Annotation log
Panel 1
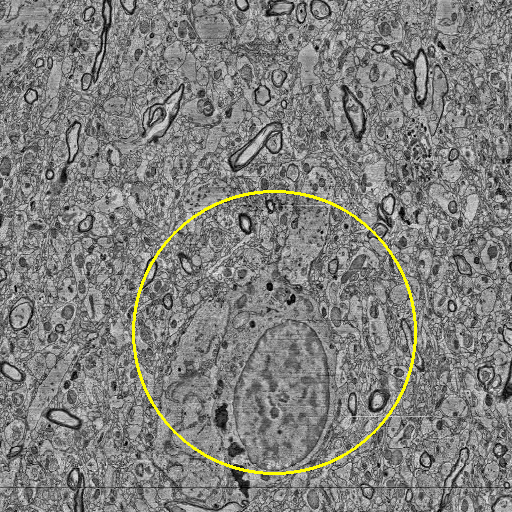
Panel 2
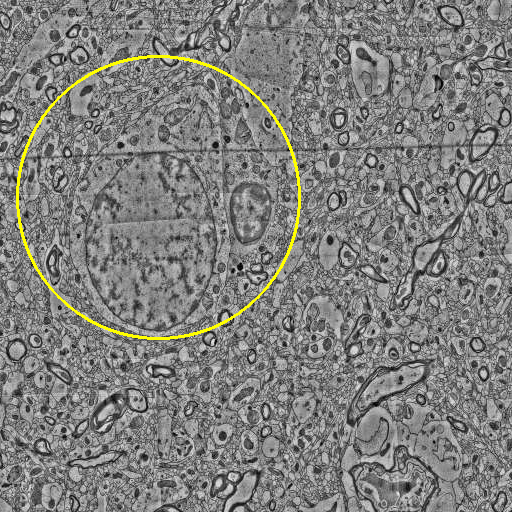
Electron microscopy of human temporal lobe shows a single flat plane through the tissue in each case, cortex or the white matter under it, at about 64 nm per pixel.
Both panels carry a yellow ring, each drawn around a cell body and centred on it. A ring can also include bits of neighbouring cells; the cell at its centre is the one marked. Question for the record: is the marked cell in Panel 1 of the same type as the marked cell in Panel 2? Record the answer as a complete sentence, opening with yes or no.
No, the marked cells in Panel 1 and Panel 2 are of two types.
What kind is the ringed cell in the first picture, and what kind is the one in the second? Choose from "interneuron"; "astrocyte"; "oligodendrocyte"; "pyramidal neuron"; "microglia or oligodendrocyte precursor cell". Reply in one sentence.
The first cell is an oligodendrocyte; the second is a pyramidal neuron.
